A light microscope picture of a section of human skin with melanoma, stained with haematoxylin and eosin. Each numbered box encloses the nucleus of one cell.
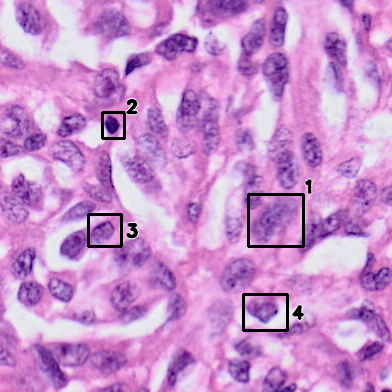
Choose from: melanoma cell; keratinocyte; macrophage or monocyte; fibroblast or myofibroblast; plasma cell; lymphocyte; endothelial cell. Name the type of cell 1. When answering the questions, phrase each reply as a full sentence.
Cell 1 should be recorded as a melanoma cell.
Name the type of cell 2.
Belonging to a lymphocyte is the nucleus that carries the number 2.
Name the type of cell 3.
In this section, number 3 marks a melanoma cell.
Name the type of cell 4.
Classified as a melanoma cell is the cell with the number 4.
